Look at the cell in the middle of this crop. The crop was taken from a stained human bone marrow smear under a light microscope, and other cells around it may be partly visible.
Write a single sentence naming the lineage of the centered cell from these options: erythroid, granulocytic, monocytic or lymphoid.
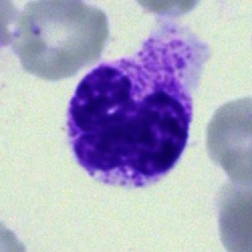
The cell found in the middle of this crop is granulocytic in lineage.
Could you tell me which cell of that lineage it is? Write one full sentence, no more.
Whatever else lies nearby, the middle cell is a segmented neutrophil.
